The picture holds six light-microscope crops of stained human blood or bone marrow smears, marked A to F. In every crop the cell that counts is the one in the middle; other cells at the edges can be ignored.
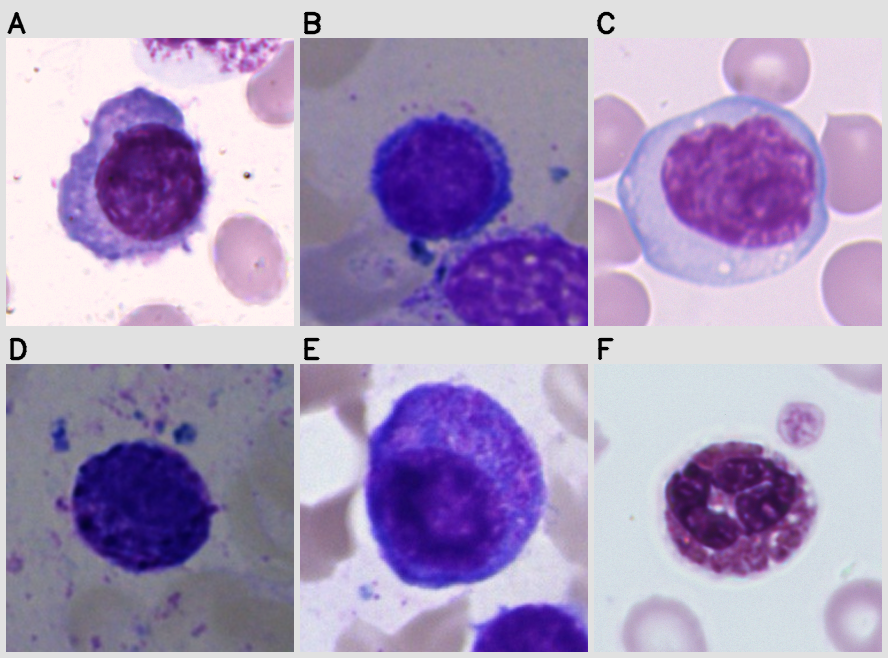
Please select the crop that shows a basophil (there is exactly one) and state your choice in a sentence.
Crop D is the one in the set with a basophil at the center.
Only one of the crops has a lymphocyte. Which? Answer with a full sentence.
Look at crop B; that is the one with a lymphocyte in its center.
